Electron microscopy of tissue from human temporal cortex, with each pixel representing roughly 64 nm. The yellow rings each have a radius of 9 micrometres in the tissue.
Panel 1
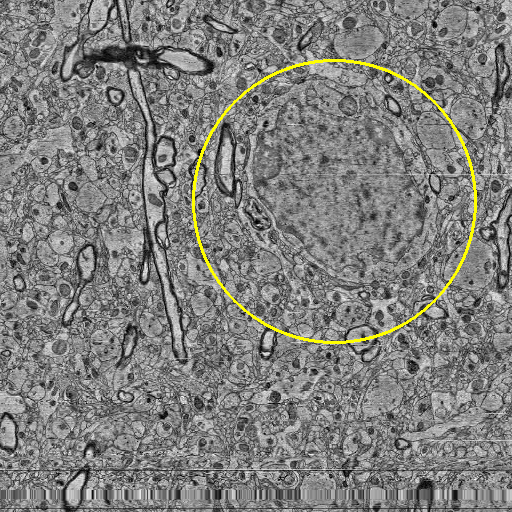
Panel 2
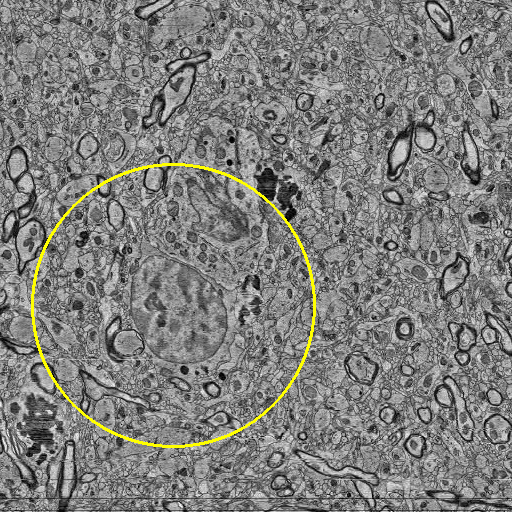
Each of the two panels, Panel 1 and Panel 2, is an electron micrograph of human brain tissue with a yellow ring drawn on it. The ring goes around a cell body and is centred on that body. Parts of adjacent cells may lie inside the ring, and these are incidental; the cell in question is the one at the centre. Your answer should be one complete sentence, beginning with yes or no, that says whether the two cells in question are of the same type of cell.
No, the two cells are of two types.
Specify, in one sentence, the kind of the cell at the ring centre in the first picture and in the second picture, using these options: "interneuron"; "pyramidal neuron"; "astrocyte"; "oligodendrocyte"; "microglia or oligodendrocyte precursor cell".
So the first is an interneuron, the second an oligodendrocyte.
